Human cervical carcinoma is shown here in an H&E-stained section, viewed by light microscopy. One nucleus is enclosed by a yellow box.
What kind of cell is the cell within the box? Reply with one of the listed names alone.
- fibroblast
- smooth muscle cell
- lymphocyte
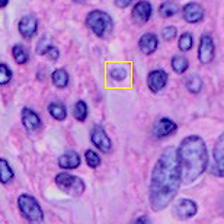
smooth muscle cell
